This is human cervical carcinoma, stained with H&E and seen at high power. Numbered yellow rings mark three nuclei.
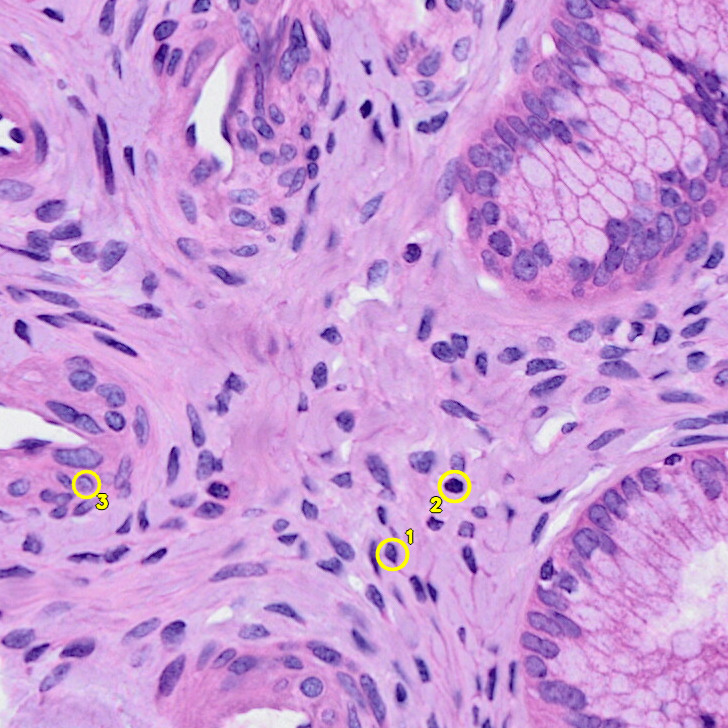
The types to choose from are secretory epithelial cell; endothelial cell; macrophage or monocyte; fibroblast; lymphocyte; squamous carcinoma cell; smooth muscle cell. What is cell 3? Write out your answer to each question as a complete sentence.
Numbered cell 3 is a smooth muscle cell in this tissue section.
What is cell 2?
The correct answer for cell 2 is a lymphocyte.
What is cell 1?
Cell 1 in the field is a fibroblast.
